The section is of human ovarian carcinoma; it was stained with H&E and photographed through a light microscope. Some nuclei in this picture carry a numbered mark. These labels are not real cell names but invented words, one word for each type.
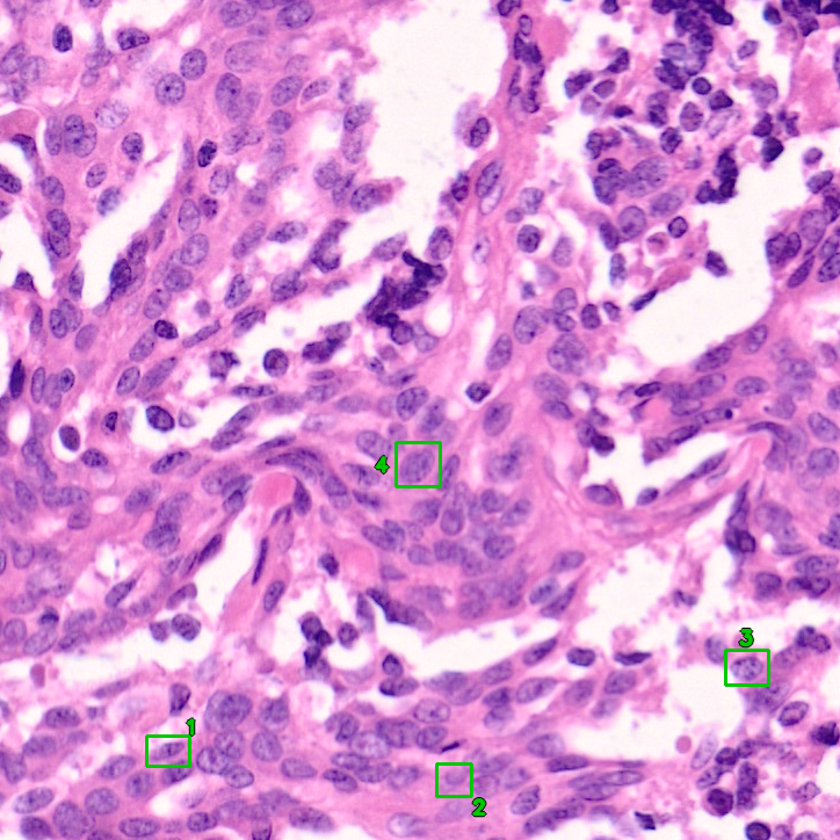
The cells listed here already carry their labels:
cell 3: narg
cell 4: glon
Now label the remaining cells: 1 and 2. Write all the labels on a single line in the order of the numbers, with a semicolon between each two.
glon; glon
